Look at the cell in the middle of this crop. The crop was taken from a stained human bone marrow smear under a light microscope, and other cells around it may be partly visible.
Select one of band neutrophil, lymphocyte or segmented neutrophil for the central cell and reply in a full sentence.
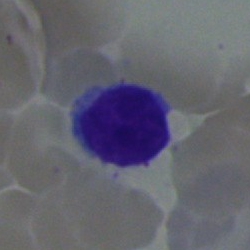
The cell marked by its central position in the crop is a lymphocyte.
